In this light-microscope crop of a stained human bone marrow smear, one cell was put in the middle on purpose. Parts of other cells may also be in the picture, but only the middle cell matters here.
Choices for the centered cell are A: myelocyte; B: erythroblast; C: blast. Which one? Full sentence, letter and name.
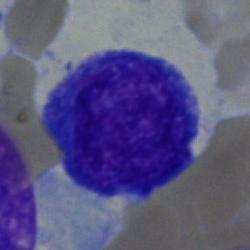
The middle cell of the crop is a blast; accordingly, option C is correct.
